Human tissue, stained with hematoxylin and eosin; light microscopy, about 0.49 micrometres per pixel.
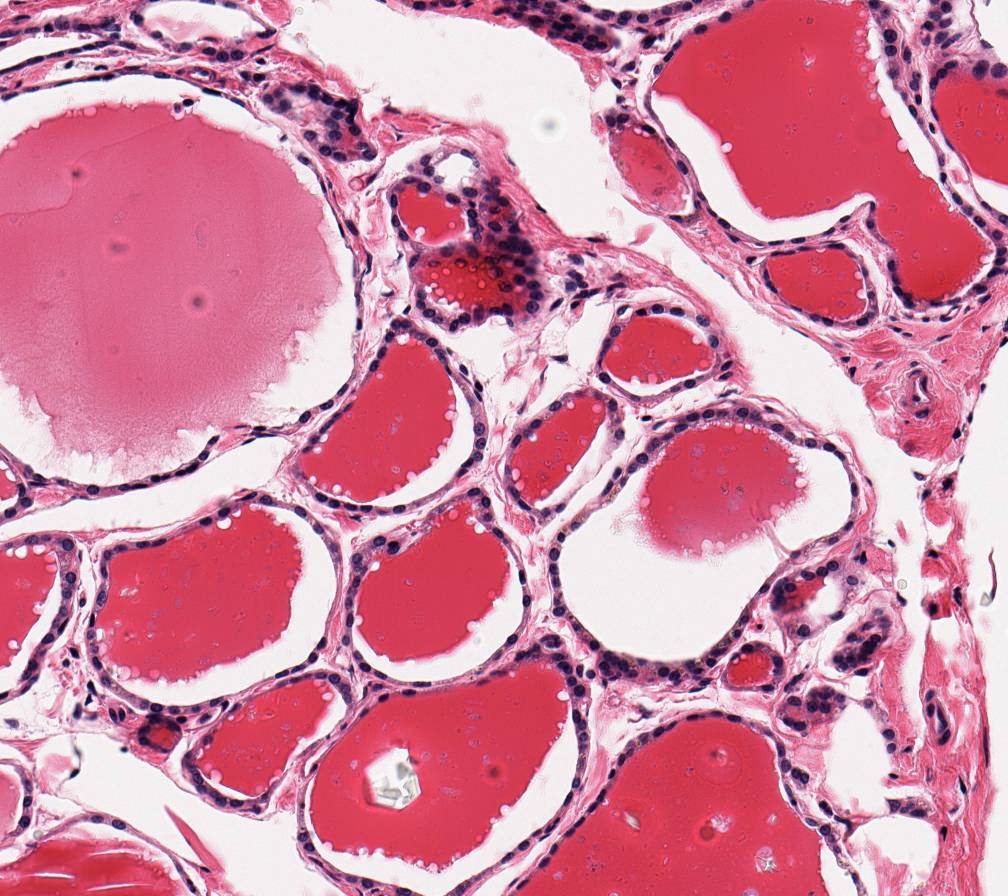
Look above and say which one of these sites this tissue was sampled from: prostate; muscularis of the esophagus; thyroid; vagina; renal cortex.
thyroid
